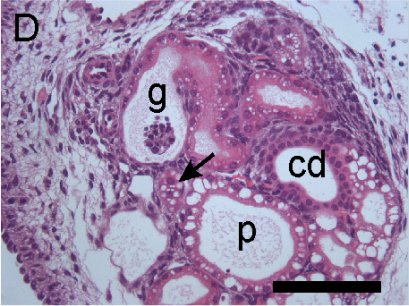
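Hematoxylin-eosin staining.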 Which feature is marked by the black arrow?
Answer: Distal tubules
